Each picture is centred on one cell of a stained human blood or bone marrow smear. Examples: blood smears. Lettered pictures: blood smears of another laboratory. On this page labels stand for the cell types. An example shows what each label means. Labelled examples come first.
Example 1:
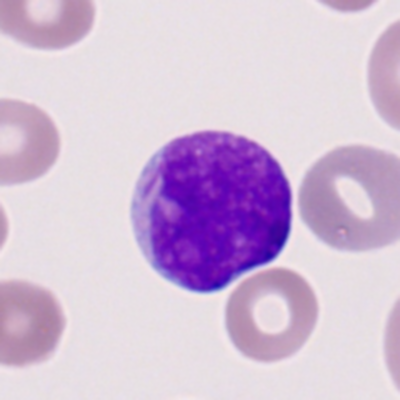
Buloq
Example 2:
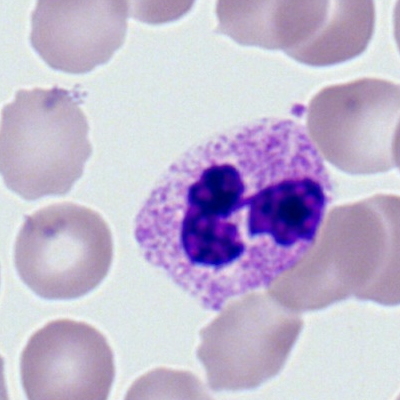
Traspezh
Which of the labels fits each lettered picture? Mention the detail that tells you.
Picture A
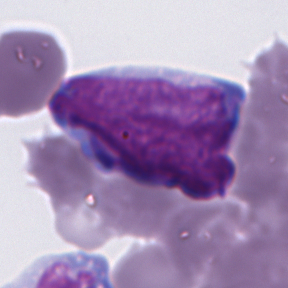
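Buloq: The cytoplasm forms only a narrow pale blue rim, seen mainly along the top edge and lower left.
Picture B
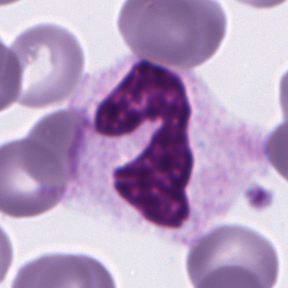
Traspezh: The cytoplasm is plentiful and forms a wide zone around the nucleus.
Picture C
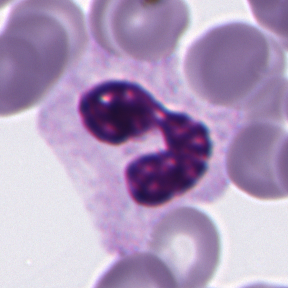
Traspezh: The cytoplasm is plentiful and pale pinkish-lilac.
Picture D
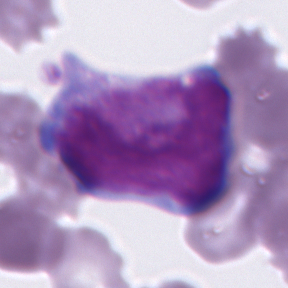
Buloq: The nucleus fills most of the cell.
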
